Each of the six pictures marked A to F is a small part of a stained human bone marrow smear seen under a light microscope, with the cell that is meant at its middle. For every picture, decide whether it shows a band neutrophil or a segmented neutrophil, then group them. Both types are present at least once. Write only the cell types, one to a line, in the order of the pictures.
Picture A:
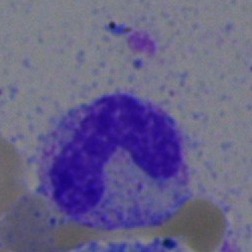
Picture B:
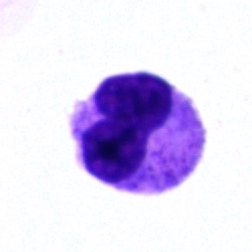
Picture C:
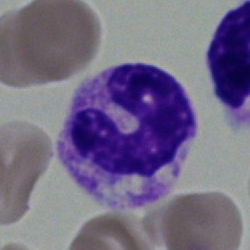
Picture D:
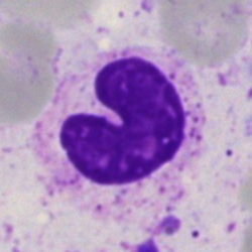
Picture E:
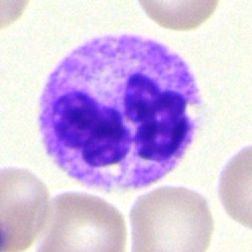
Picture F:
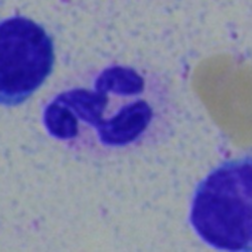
band neutrophil
band neutrophil
band neutrophil
band neutrophil
segmented neutrophil
segmented neutrophil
